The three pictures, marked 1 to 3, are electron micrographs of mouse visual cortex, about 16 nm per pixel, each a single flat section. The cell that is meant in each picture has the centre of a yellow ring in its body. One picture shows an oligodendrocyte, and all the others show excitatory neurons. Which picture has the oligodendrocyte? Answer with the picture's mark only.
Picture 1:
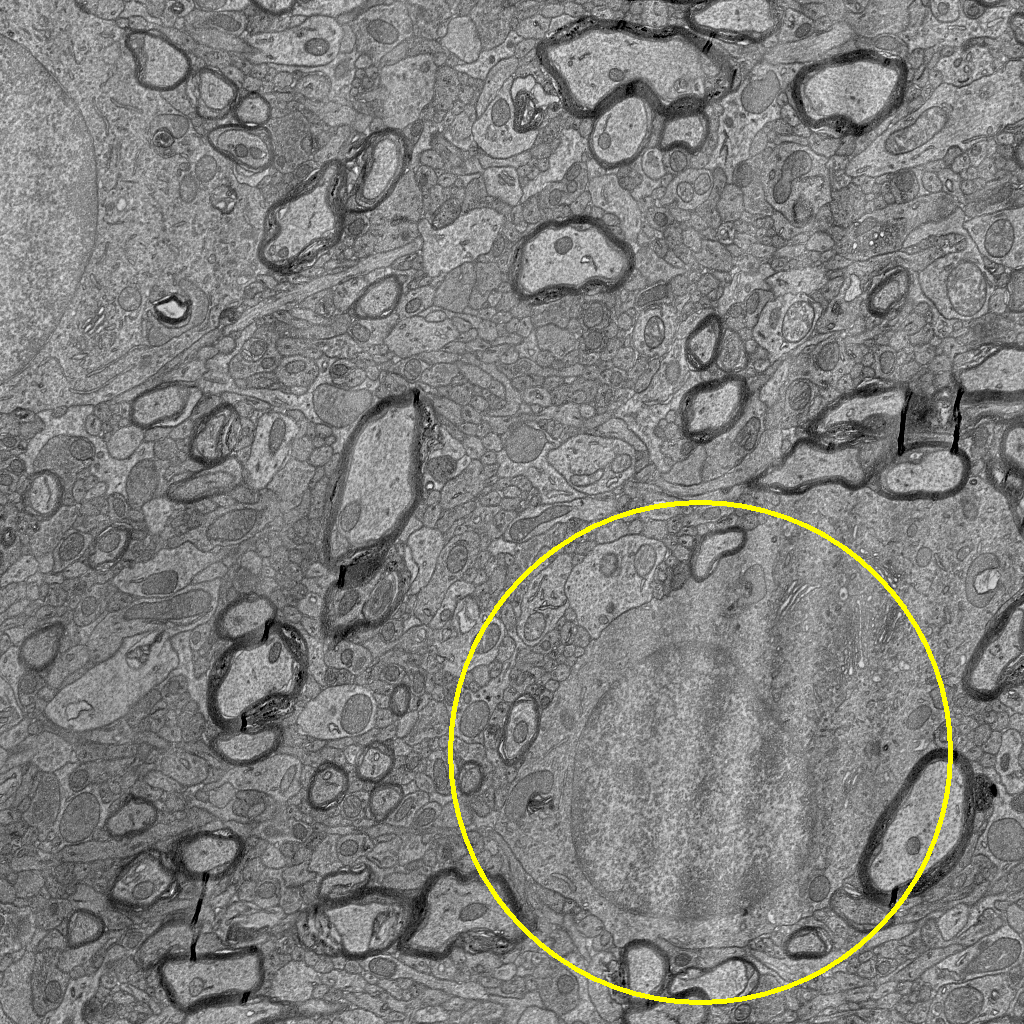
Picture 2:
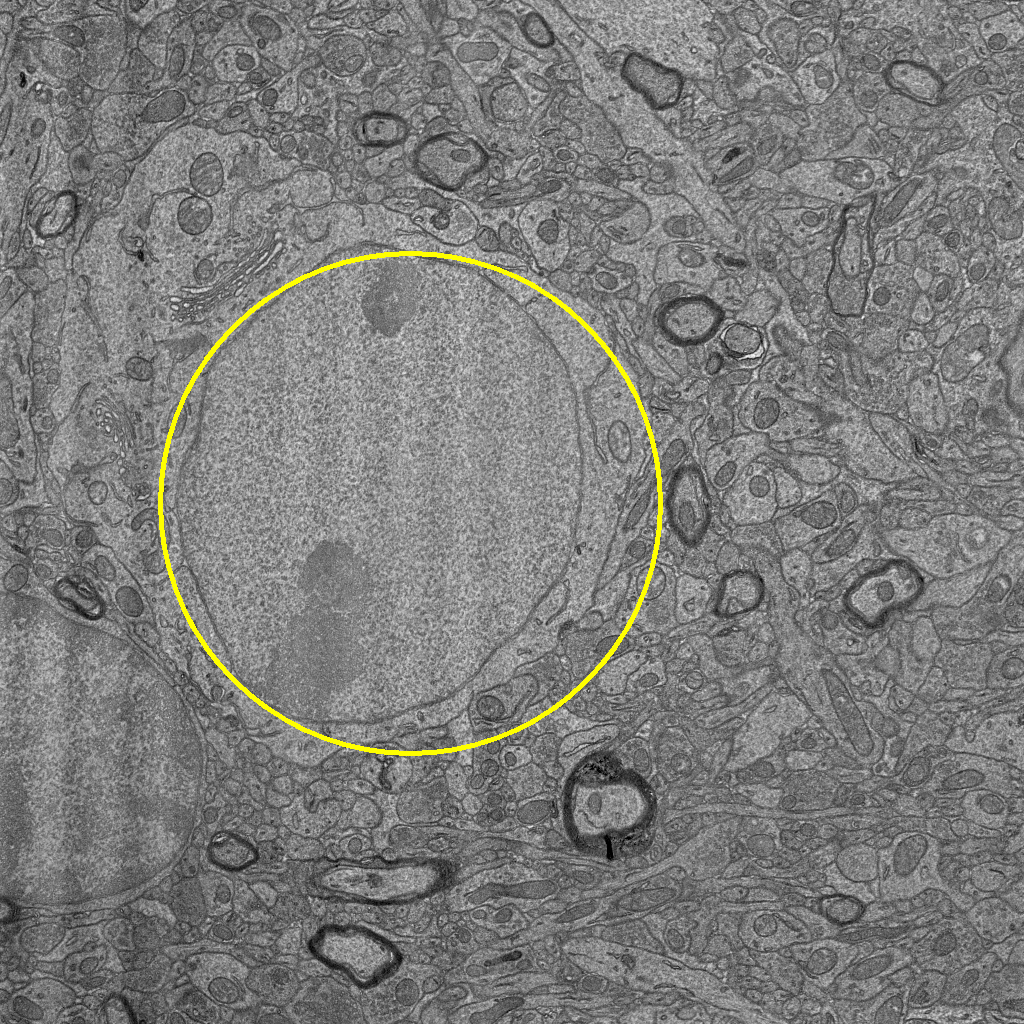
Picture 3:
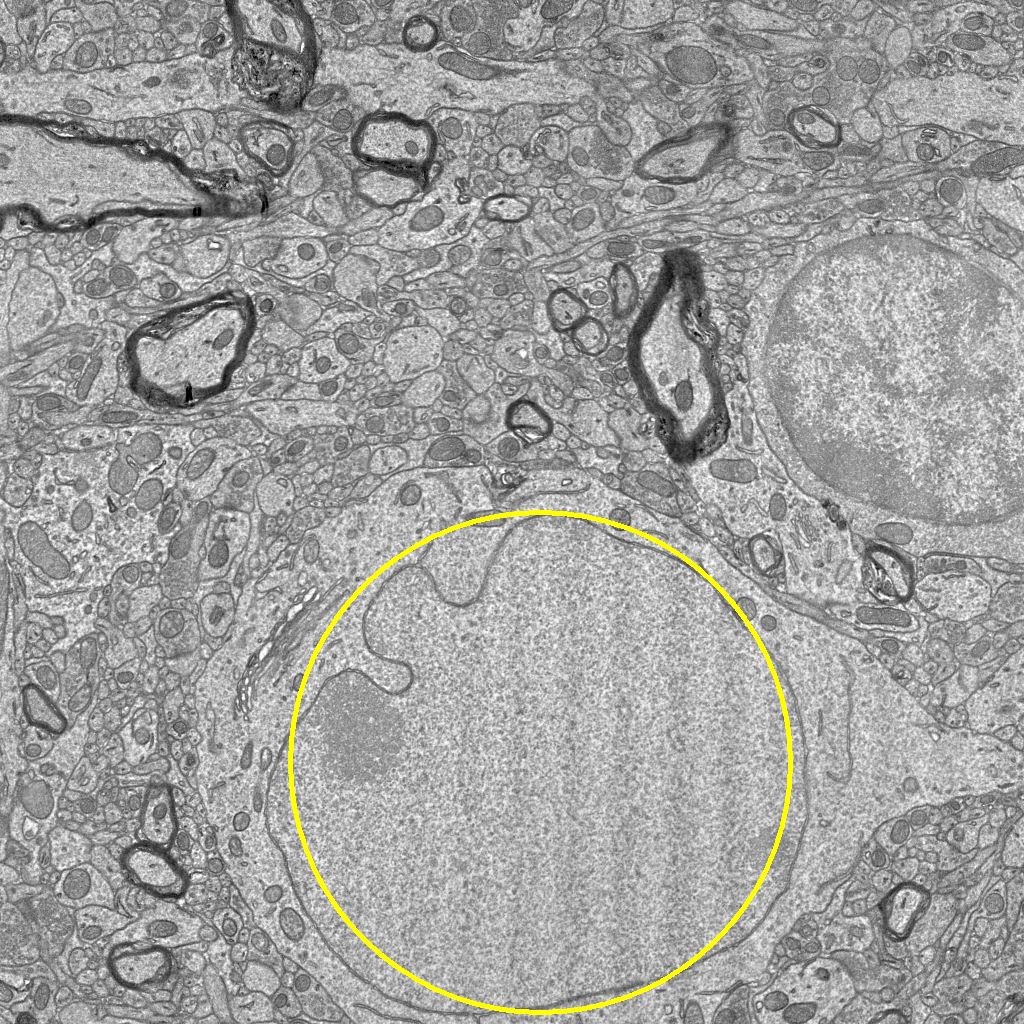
1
